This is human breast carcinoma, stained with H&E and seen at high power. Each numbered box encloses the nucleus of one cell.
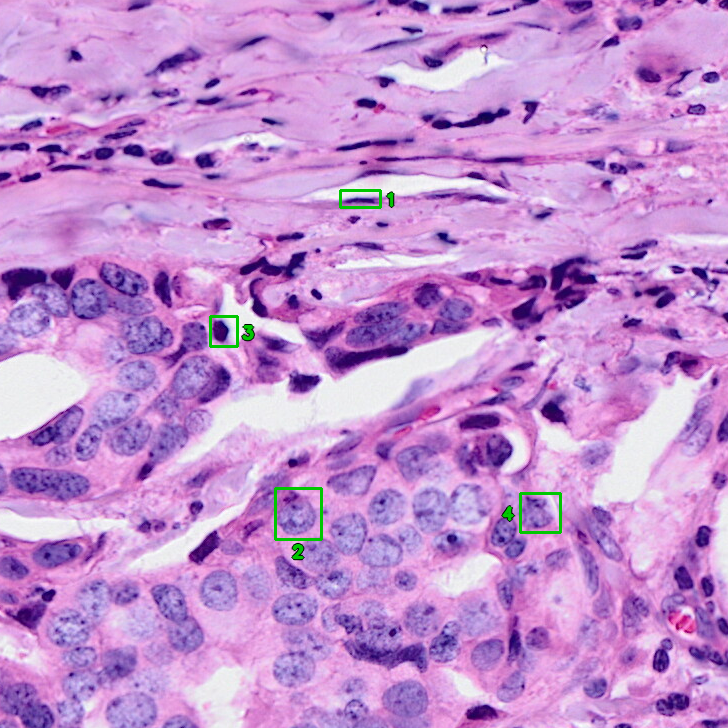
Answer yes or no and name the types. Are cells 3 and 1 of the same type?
No, sorry, cell 3 is a carcinoma cell and cell 1 is a fibroblast.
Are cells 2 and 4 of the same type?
Yes, the pair of cells 2 and 4 are both carcinoma cells.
